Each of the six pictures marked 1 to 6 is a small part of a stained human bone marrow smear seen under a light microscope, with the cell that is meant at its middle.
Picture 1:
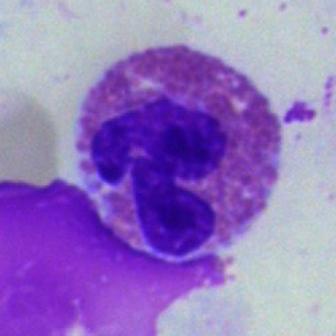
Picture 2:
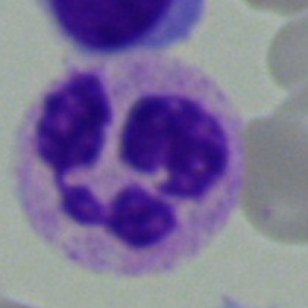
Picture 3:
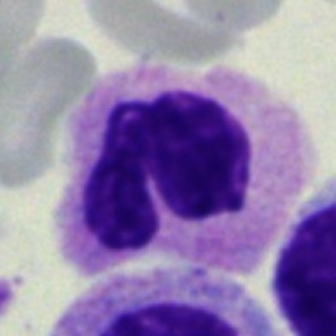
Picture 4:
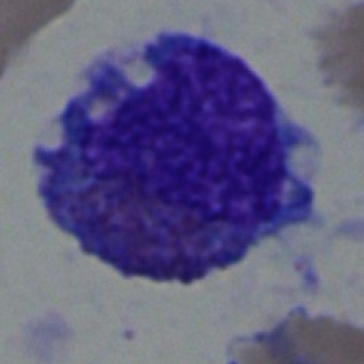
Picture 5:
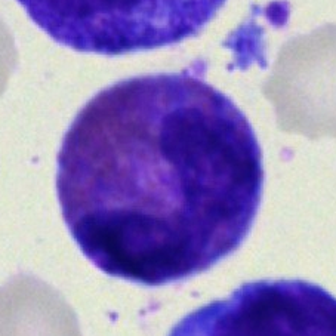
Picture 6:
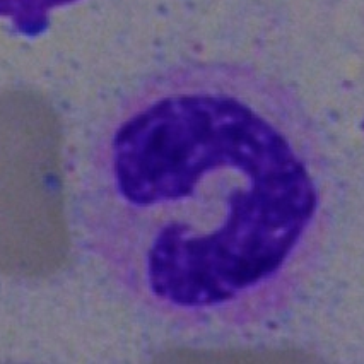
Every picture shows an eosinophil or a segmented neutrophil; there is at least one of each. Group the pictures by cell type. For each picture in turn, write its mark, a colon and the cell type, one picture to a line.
1: eosinophil
2: segmented neutrophil
3: segmented neutrophil
4: eosinophil
5: eosinophil
6: segmented neutrophil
